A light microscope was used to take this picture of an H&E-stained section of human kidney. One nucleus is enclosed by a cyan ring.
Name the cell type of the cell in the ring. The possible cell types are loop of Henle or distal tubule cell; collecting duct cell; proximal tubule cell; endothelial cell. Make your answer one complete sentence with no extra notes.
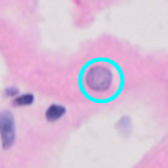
Histopathologically, the cell in the ring is a proximal tubule cell.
